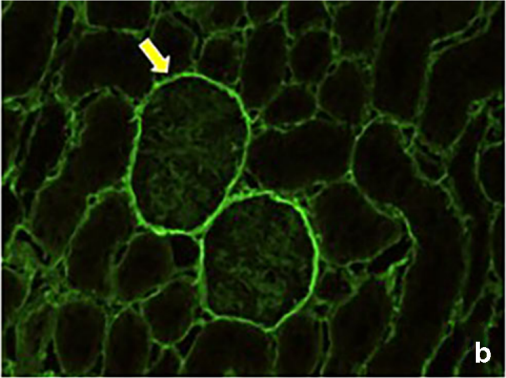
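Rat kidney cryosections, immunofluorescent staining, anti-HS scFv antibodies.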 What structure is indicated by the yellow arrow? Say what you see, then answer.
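The arrow points to a bright smooth green ring encircling a round body. The round body inside the ring is only faintly stained. So: Bowman’s capsule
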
